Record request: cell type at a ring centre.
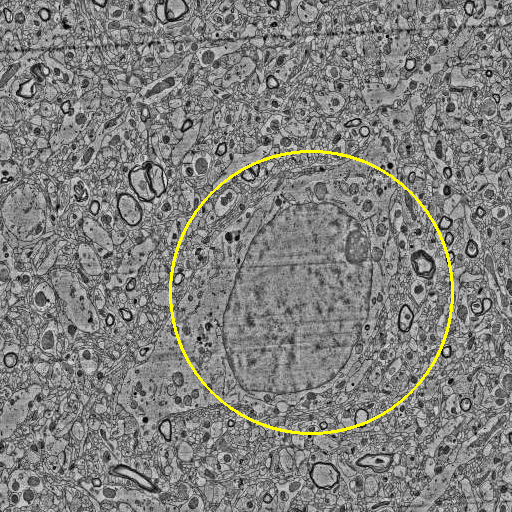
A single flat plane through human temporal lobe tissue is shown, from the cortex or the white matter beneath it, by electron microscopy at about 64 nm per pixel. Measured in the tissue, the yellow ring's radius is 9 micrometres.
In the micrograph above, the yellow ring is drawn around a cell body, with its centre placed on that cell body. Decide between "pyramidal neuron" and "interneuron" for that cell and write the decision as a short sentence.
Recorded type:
The cell centred in the yellow ring is an interneuron.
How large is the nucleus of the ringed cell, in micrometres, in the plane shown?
In this plane the nucleus is about 13 micrometres by 9.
